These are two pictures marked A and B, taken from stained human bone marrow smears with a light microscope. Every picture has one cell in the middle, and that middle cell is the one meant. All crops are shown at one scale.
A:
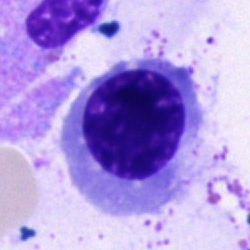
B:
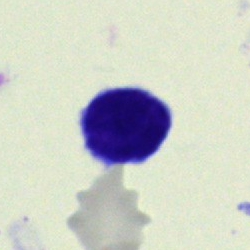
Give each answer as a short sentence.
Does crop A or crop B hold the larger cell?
Crop A holds the larger cell; it covers about 2.5 times the area of the cell in crop B.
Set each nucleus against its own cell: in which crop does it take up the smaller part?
The nucleus fills less of the cell in crop A than in crop B.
